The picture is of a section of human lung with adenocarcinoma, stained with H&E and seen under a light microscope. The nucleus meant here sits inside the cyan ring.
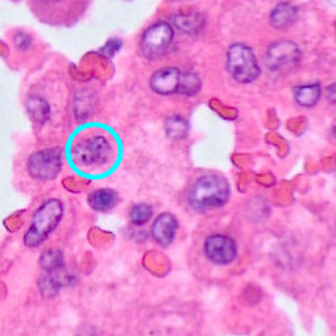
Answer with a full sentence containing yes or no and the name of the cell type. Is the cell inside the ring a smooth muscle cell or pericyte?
No, as classified here, the cell inside the ring is a macrophage or monocyte and not a smooth muscle cell or pericyte.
